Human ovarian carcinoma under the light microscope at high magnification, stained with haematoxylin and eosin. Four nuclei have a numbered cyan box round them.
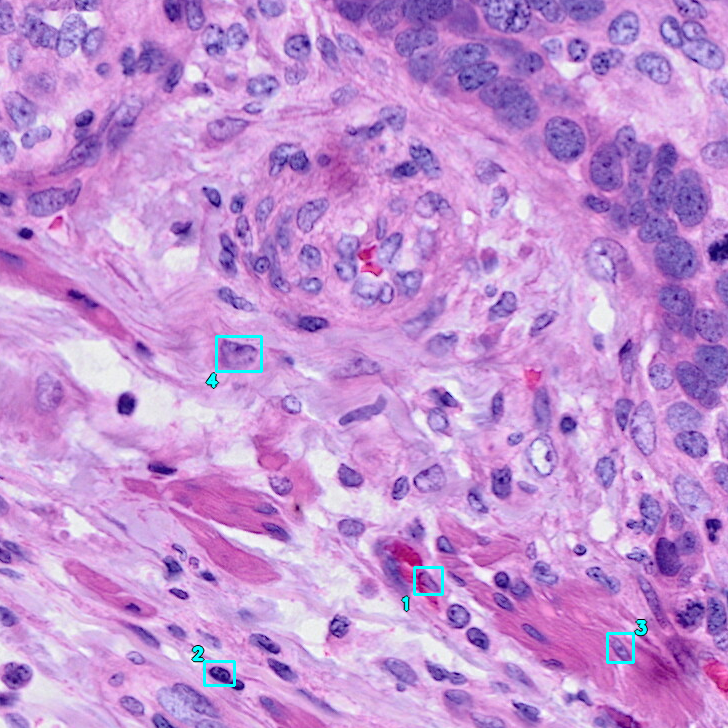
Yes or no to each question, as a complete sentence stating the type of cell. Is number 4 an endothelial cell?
No, the right label for cell 4 is a fibroblast rather than an endothelial cell.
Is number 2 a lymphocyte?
Yes, the cell corresponding to number 2 is a lymphocyte.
